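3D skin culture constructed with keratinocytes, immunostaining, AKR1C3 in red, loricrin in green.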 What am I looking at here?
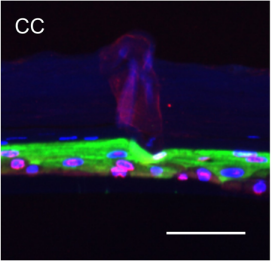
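Oval nuclei, some blue and some pink, are scattered along the lower part of the layer, surrounded by green. Little red is seen in the lower cells. A faintly blue acellular band lies above the cell layer.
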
